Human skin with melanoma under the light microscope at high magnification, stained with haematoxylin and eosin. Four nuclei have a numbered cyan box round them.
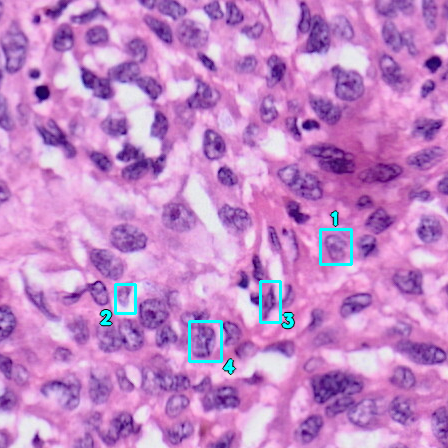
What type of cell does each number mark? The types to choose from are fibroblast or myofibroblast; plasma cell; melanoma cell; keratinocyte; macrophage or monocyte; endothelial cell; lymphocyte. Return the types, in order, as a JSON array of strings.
["melanoma cell", "melanoma cell", "endothelial cell", "melanoma cell"]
